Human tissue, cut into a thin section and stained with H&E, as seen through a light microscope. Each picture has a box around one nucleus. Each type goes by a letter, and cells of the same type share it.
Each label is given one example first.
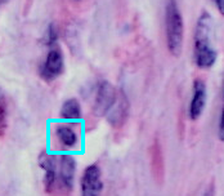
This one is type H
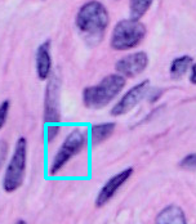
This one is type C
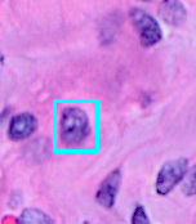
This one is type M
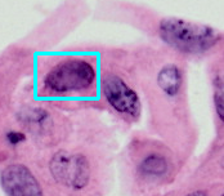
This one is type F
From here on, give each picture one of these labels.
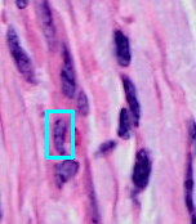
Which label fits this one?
type M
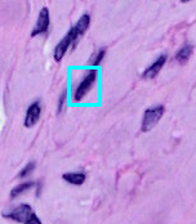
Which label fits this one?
type C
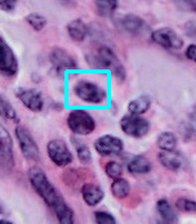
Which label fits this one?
type H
